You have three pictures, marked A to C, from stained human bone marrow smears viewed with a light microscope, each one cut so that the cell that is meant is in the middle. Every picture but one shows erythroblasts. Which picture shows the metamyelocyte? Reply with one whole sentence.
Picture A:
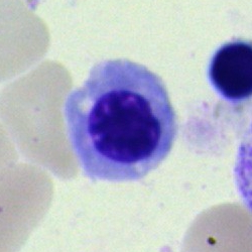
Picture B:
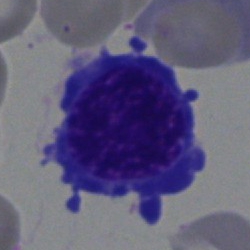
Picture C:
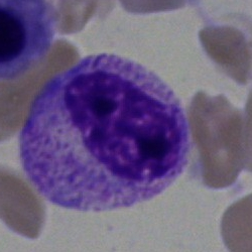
Picture C shows the metamyelocyte.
